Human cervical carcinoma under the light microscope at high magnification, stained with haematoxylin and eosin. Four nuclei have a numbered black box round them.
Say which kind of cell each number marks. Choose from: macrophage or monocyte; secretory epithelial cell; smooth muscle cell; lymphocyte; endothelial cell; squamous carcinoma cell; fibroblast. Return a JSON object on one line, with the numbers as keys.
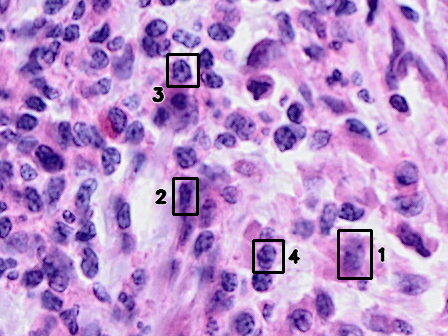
{"1": "macrophage or monocyte", "2": "lymphocyte", "3": "lymphocyte", "4": "lymphocyte"}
